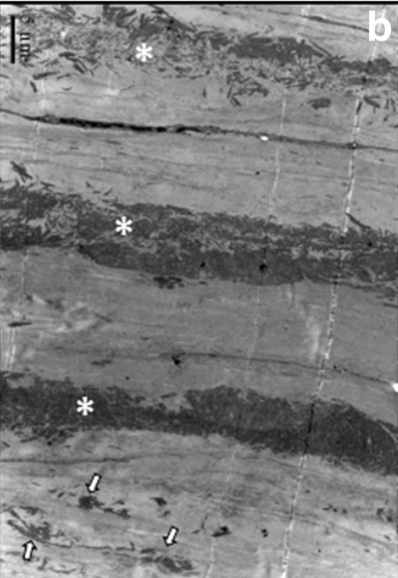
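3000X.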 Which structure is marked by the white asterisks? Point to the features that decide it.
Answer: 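Electron-dense, rod-shaped bodies. Dark horizontal bands run across the stroma. The bands are made of many small dark elongated rods. The bands run parallel to each other.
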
